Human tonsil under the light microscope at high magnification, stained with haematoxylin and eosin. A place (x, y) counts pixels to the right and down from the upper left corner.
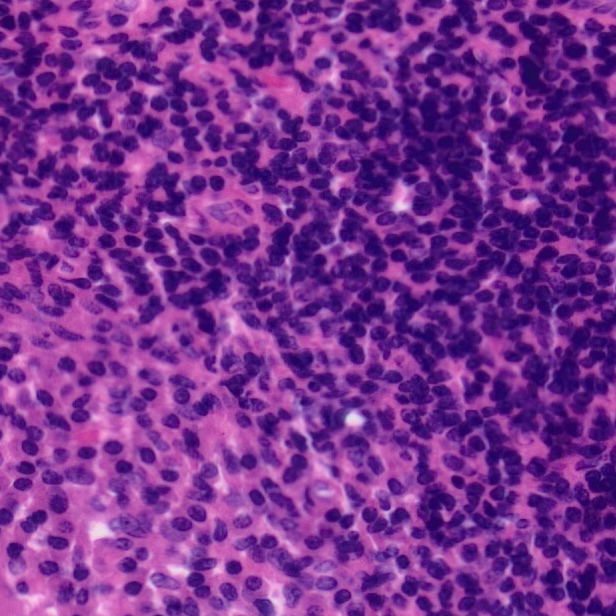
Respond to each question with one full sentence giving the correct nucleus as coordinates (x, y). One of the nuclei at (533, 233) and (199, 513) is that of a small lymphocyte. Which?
The nucleus at (533, 233), rather than the other, belongs to a small lymphocyte.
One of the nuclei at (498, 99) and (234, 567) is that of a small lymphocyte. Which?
The one belonging to a small lymphocyte is the nucleus at (498, 99), not the other.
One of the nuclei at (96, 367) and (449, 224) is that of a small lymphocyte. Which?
The nucleus at (449, 224), rather than the other, belongs to a small lymphocyte.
